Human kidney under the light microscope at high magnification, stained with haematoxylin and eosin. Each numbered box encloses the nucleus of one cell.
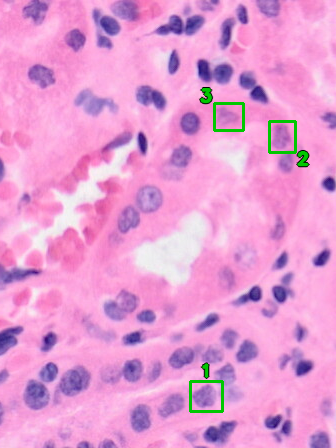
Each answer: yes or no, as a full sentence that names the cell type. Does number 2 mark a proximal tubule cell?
Yes, the cell identified as number 2 is a proximal tubule cell.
